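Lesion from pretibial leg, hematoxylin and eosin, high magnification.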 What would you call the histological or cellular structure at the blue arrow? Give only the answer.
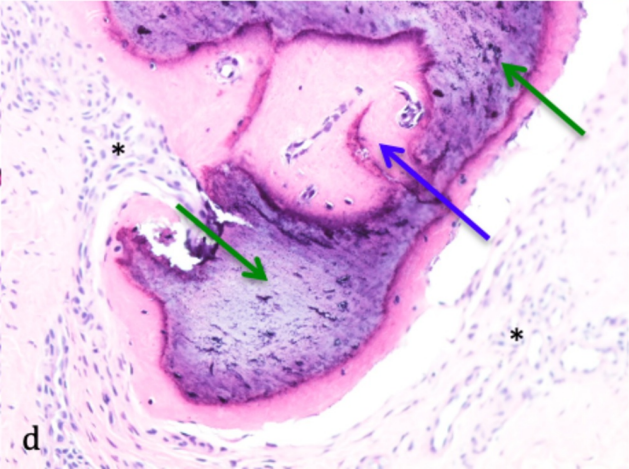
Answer: Haversian canal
